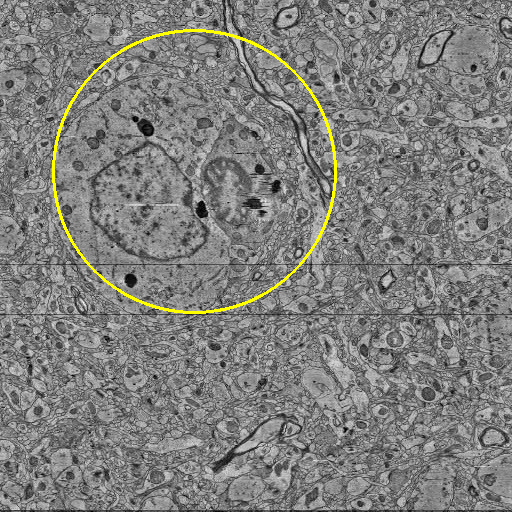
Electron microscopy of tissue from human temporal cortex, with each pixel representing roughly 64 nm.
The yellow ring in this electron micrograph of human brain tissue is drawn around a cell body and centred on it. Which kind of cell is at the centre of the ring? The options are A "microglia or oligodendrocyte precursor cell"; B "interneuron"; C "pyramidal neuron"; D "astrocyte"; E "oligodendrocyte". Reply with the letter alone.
E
